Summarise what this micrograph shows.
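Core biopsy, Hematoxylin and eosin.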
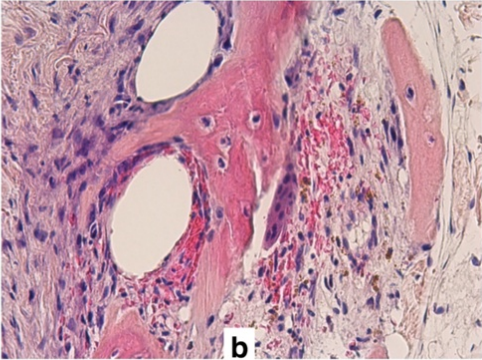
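This is bone tissue with a trabecula of dense, homogeneous pink matrix running diagonally through the middle of the field. Within the matrix small dark nuclei lie singly in clear spaces, the osteocytes in their lacunae. To the right lies loose tissue with many red blood cells and scattered golden-brown pigment granules. Large round empty spaces, rimmed by thin walls, lie beside the trabecula.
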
